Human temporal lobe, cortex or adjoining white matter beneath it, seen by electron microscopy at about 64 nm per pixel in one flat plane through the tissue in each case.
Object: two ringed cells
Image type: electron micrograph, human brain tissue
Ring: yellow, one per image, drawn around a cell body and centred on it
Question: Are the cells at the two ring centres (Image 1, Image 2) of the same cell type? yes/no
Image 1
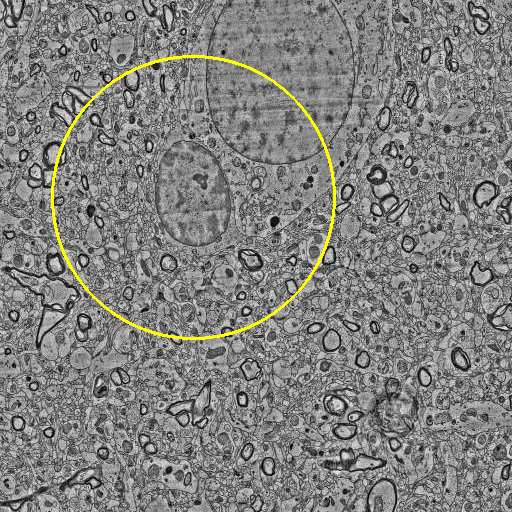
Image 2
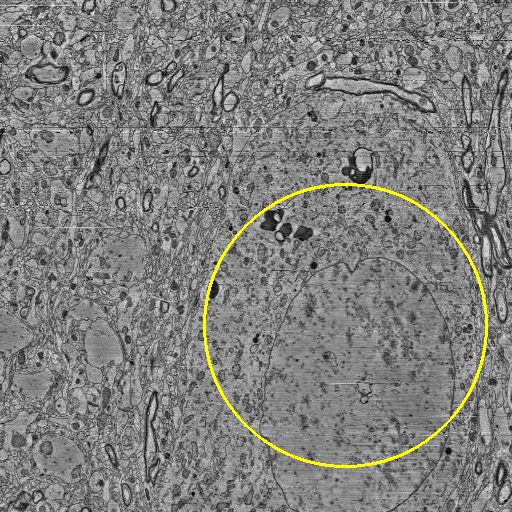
no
